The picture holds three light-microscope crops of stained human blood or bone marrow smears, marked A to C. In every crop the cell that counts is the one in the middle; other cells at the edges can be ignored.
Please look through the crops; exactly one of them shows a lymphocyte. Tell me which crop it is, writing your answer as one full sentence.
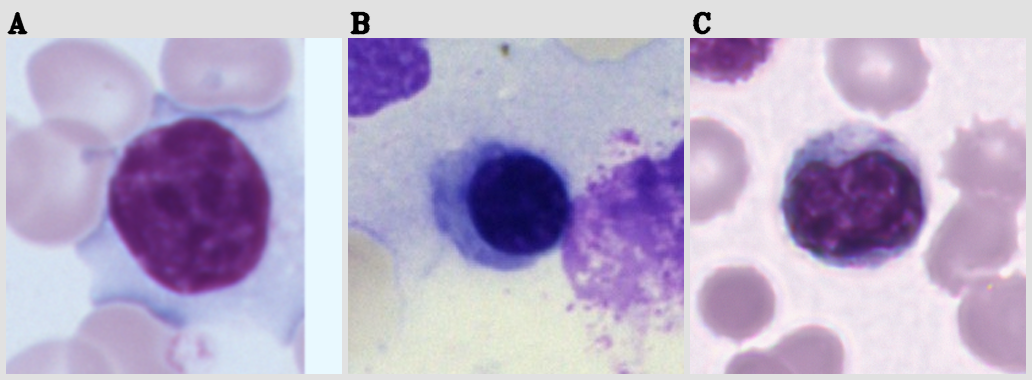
As for which crop shows a lymphocyte, it is crop A.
